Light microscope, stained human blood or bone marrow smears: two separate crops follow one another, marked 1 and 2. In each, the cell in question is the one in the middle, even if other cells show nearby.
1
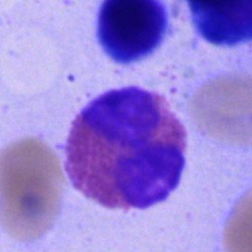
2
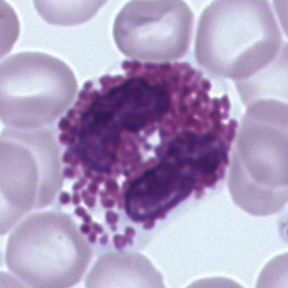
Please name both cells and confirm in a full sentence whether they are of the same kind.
Yes, the pair of crops both show eosinophils.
